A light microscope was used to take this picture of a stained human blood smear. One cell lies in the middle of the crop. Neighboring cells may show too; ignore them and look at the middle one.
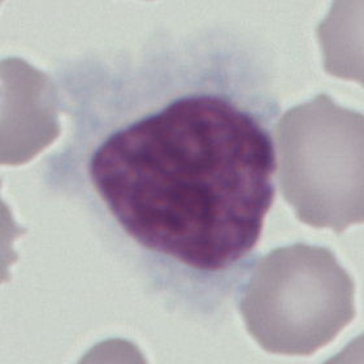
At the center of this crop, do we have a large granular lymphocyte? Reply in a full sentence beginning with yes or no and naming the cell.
No, the cell of interest here is a hairy cell and not a large granular lymphocyte.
